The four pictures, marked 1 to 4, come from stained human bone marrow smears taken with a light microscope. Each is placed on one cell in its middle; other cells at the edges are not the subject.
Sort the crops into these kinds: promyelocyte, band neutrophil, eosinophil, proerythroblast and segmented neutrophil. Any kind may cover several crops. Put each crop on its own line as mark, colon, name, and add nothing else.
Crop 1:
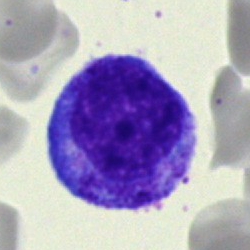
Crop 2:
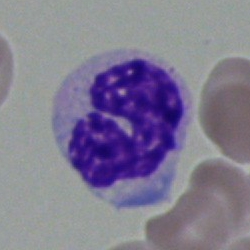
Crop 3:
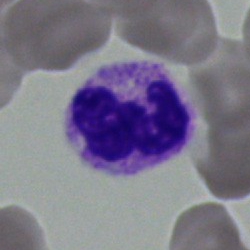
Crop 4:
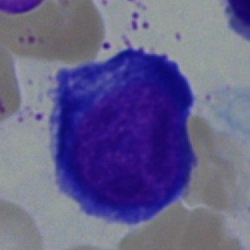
1: promyelocyte
2: segmented neutrophil
3: segmented neutrophil
4: proerythroblast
